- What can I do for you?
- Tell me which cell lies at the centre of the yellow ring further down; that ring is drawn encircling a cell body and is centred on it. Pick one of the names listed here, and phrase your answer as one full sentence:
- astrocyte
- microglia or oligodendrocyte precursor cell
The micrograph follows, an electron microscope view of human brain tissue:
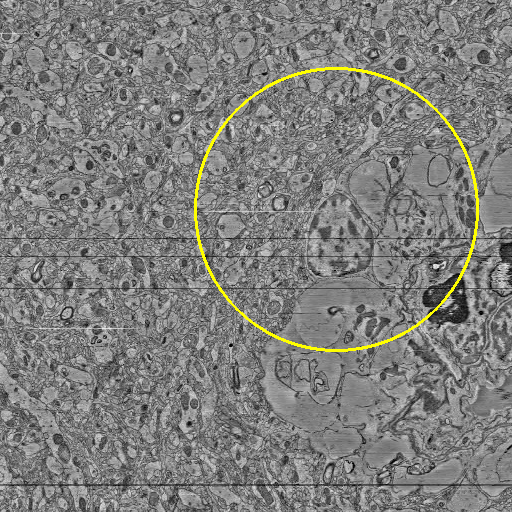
The cell whose body lies at the centre of the yellow ring is a microglial cell or oligodendrocyte precursor cell.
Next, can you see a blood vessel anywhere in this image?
Yes.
